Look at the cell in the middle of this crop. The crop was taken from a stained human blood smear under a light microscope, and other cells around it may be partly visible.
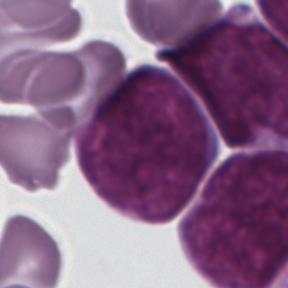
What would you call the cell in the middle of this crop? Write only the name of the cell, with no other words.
blast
